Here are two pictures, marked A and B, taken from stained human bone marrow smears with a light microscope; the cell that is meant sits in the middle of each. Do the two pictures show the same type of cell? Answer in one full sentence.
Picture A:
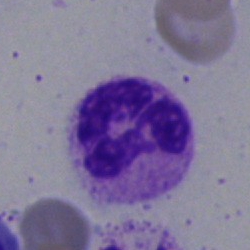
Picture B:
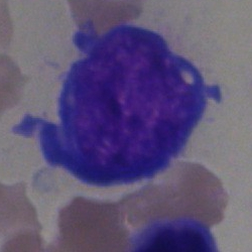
No, picture A shows a segmented neutrophil and picture B shows a blast.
